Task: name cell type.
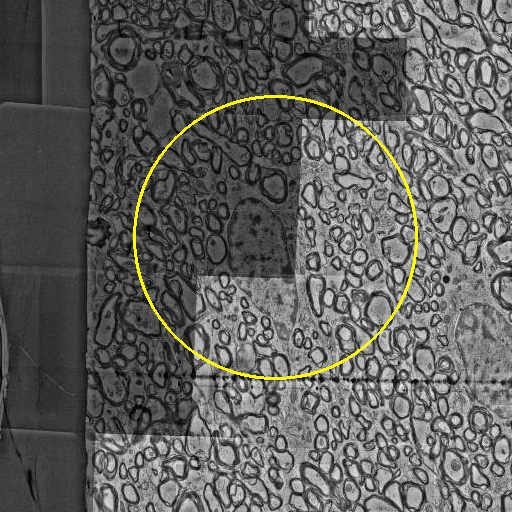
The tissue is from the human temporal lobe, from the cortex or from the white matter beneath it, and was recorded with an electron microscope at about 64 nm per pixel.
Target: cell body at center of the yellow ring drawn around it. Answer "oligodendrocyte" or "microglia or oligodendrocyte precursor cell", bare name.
microglia or oligodendrocyte precursor cell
